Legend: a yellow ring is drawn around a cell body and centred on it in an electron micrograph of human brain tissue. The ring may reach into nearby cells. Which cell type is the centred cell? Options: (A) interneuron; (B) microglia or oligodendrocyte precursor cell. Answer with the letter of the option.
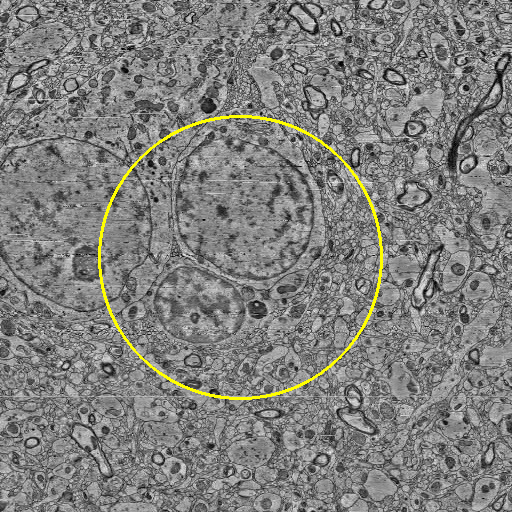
A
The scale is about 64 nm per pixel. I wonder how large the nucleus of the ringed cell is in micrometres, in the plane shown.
In this plane, about 10 micrometres in length and 9 in width.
